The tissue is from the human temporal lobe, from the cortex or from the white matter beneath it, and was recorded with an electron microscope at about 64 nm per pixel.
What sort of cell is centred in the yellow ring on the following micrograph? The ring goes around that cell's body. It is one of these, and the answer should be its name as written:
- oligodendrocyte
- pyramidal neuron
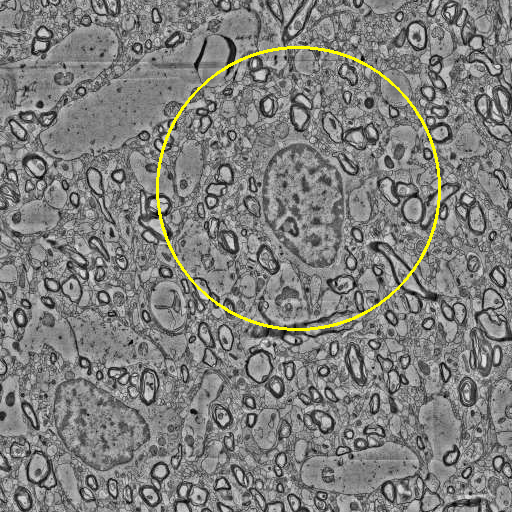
oligodendrocyte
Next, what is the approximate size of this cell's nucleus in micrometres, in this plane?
In this plane, the nucleus of the cell at the centre of the ring measures about 8 by 5 micrometres.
